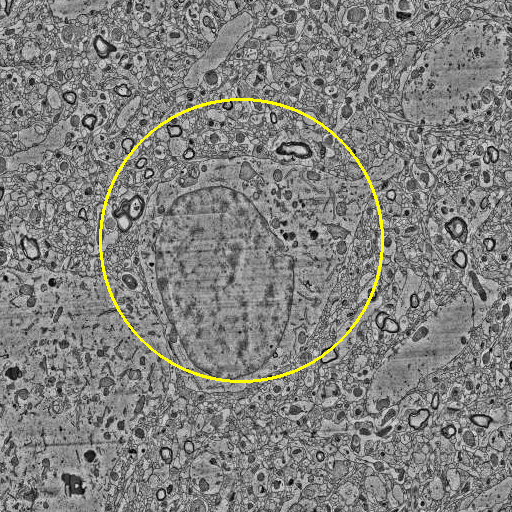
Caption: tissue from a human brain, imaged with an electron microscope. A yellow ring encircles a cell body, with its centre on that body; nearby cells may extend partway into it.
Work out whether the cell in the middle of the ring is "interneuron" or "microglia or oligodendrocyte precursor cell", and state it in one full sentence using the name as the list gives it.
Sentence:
In the picture, the cell that the yellow ring surrounds at its centre is an interneuron.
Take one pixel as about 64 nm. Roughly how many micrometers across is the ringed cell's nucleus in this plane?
About 12 micrometres by about 9 micrometres in this plane.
